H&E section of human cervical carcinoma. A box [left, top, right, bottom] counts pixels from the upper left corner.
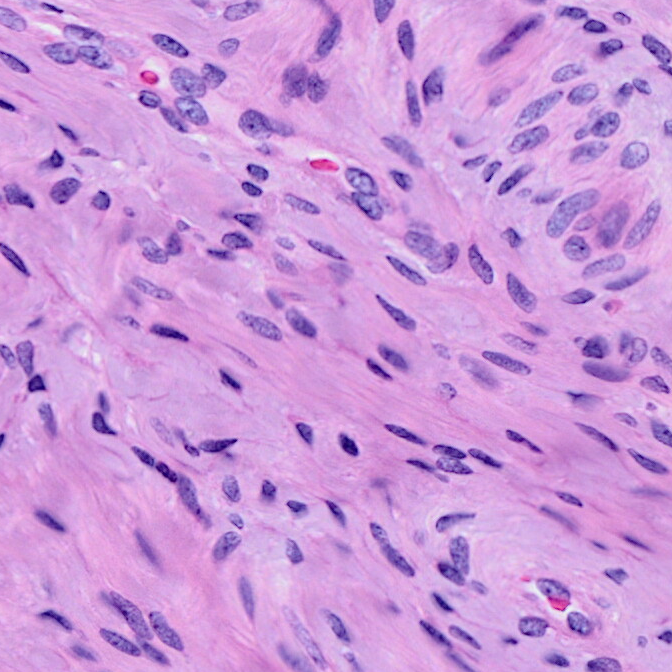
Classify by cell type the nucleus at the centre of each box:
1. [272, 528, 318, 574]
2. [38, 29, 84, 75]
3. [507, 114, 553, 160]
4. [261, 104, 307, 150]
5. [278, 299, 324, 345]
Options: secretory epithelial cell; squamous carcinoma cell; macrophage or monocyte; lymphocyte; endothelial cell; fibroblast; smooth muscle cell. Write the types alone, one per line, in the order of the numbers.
fibroblast
endothelial cell
smooth muscle cell
endothelial cell
fibroblast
